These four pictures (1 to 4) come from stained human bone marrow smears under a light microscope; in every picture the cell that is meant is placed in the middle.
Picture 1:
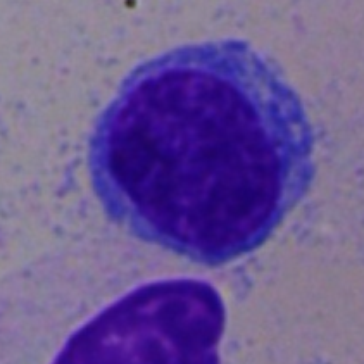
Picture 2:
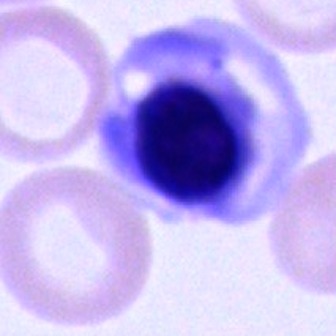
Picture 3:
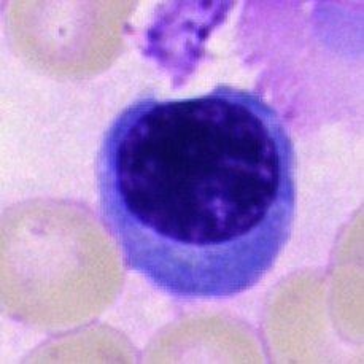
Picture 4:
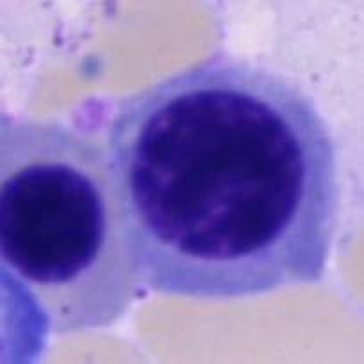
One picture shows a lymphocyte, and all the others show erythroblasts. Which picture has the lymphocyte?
1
